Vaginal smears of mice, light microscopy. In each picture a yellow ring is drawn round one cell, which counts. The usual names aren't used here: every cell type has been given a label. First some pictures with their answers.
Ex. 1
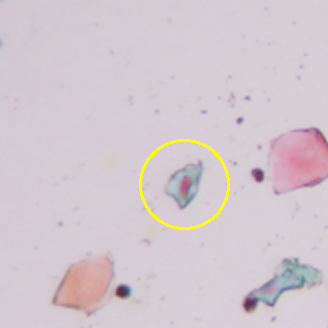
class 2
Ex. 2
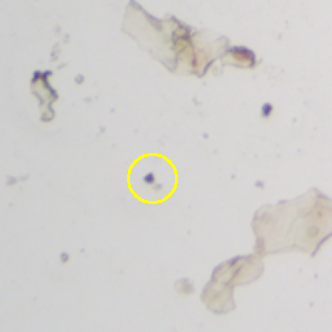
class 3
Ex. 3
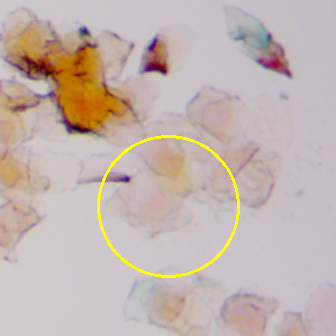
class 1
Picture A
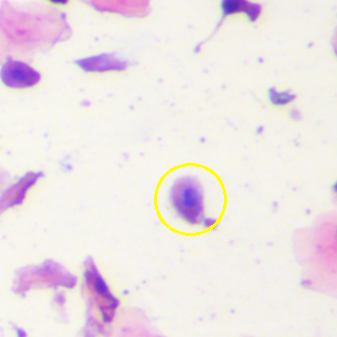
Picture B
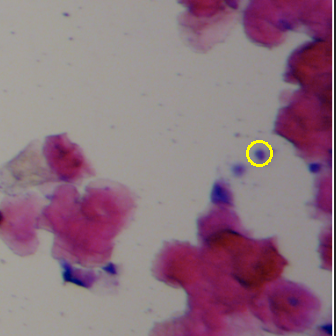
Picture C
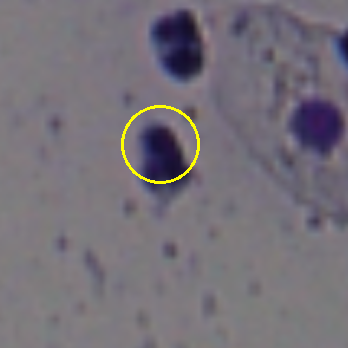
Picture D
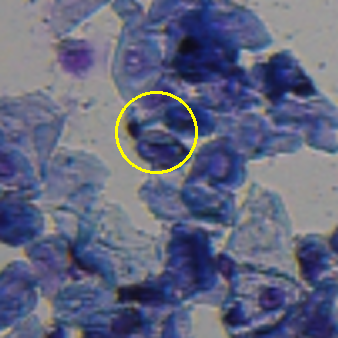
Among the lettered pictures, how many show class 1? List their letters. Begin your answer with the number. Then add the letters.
0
